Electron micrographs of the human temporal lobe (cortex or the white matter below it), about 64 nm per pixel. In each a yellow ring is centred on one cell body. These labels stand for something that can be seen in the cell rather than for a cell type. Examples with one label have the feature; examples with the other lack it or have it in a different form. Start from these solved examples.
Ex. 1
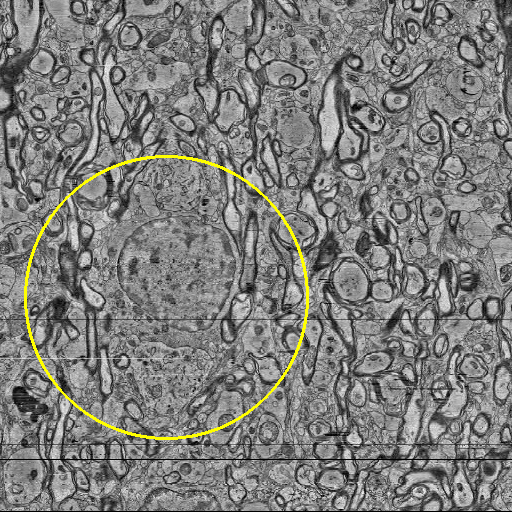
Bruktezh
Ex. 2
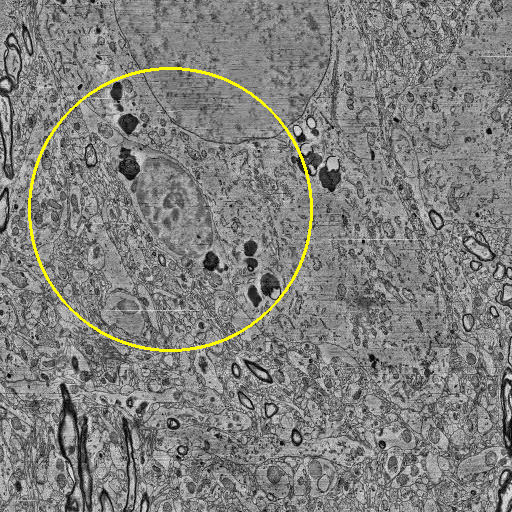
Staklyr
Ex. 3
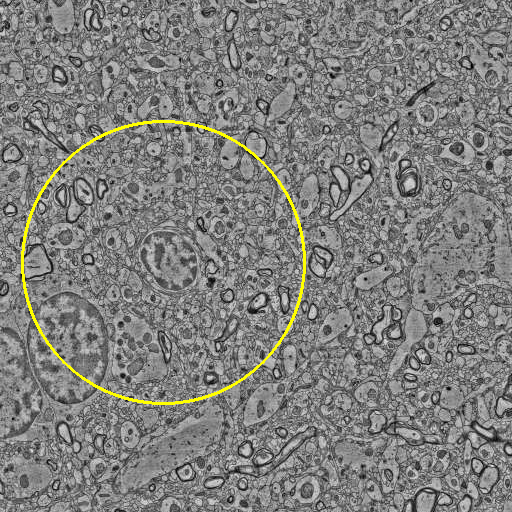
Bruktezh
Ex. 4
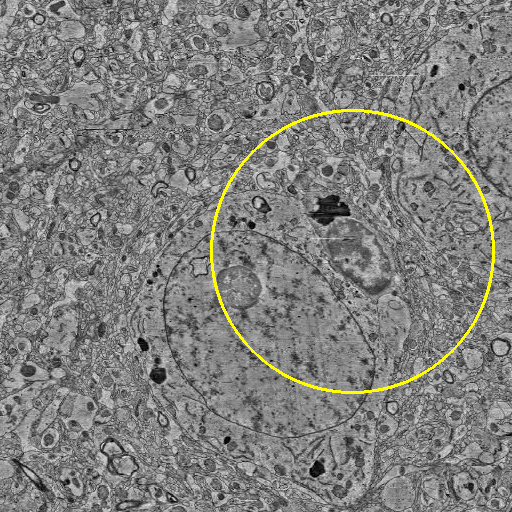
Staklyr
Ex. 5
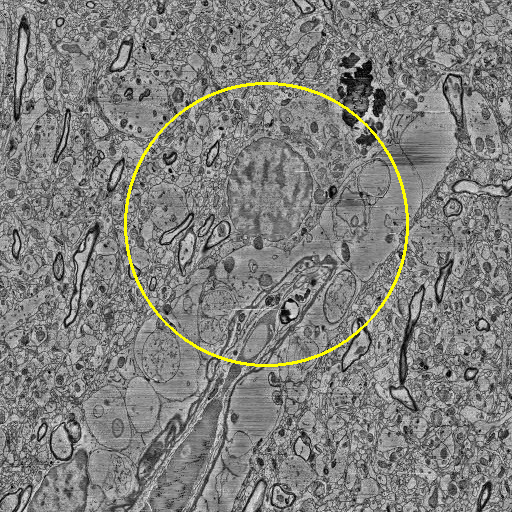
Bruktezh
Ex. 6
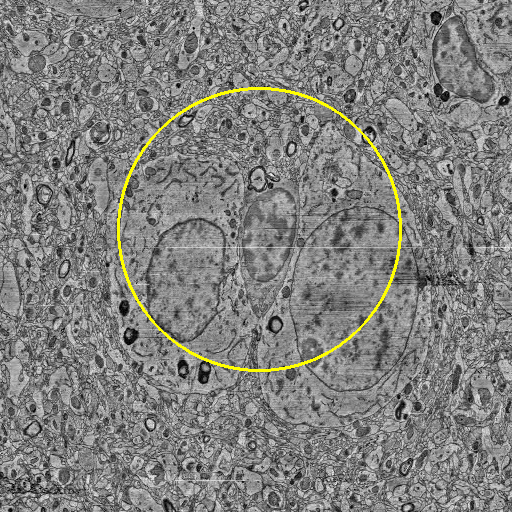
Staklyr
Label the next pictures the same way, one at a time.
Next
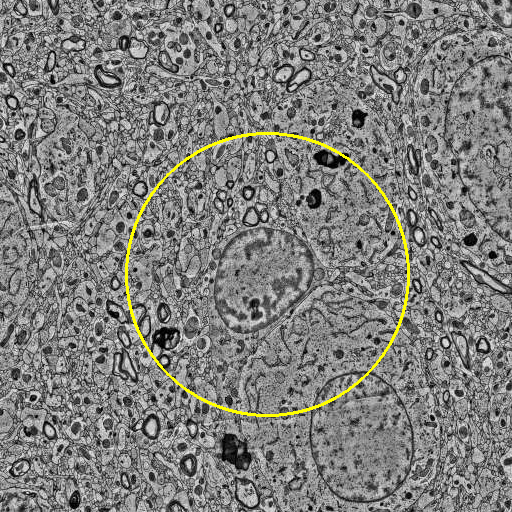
Bruktezh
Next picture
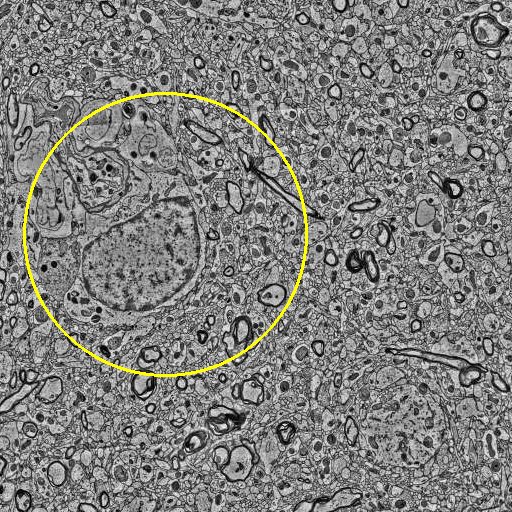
Bruktezh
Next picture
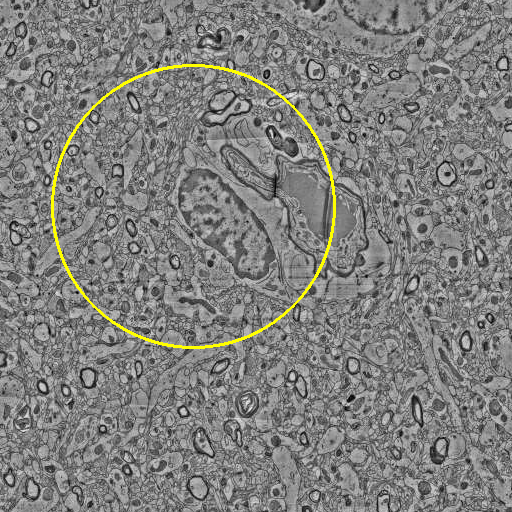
Staklyr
